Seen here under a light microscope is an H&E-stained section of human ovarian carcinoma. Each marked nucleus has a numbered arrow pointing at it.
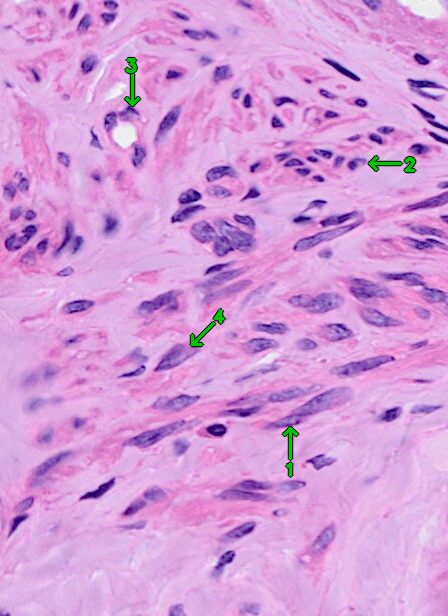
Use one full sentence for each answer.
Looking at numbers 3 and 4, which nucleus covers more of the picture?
At about 2.5 times the area of nucleus 3, nucleus 4 is the larger of the two.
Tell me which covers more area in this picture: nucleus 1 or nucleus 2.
At about 2.5 times the area of nucleus 2, nucleus 1 is the larger of the two.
